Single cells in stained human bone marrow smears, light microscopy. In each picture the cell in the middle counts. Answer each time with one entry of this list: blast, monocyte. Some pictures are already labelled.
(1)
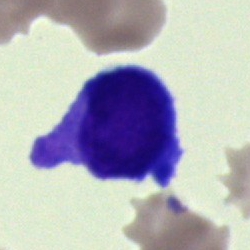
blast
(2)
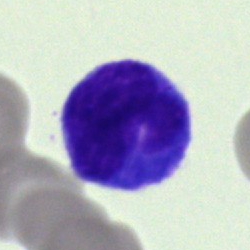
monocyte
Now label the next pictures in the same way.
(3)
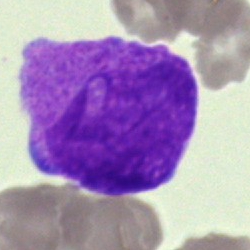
blast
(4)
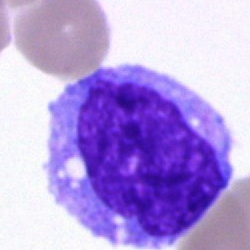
monocyte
